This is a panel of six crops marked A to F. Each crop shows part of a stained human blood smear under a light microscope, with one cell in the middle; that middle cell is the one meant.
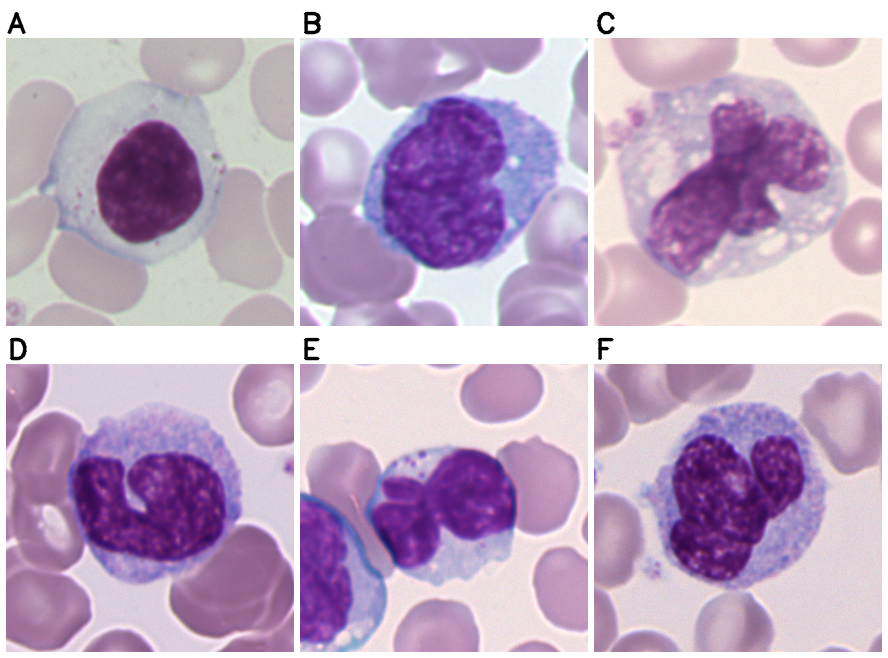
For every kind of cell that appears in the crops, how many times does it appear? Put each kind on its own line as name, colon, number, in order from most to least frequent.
monocyte: 4
large granular lymphocyte: 2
